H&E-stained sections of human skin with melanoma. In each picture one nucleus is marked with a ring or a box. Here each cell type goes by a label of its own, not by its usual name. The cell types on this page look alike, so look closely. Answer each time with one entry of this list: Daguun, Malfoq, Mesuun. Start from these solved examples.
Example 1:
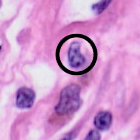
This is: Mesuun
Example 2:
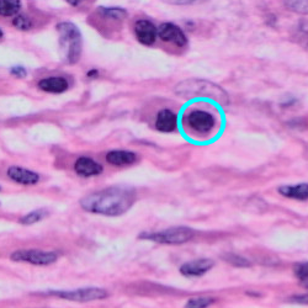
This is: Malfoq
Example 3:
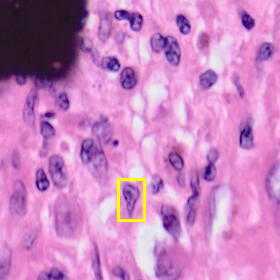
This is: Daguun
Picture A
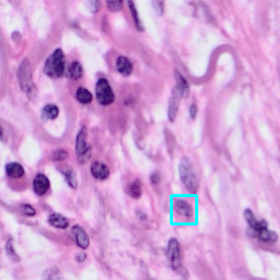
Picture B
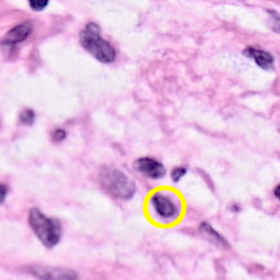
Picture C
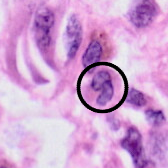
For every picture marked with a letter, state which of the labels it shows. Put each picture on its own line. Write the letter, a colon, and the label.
A: Daguun
B: Daguun
C: Daguun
